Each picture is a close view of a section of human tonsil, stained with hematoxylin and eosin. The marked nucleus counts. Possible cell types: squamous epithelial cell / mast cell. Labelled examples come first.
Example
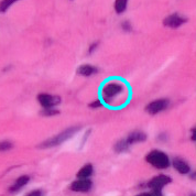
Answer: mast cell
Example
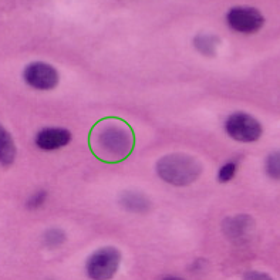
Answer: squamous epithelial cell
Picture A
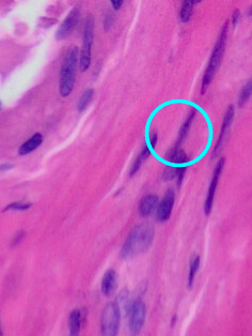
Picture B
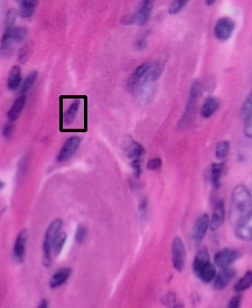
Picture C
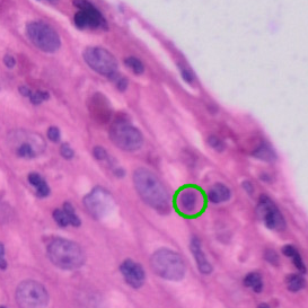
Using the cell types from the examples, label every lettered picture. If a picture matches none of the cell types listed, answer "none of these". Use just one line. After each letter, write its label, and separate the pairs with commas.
A none of these, B mast cell, C squamous epithelial cell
